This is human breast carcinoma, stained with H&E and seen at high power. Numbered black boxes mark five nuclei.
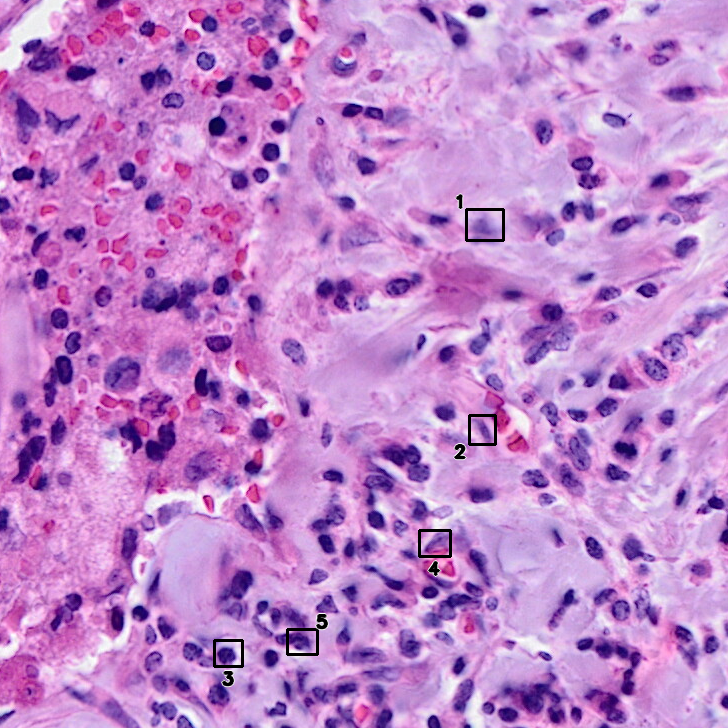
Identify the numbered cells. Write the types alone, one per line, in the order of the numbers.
fibroblast
endothelial cell
lymphocyte
endothelial cell
lymphocyte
